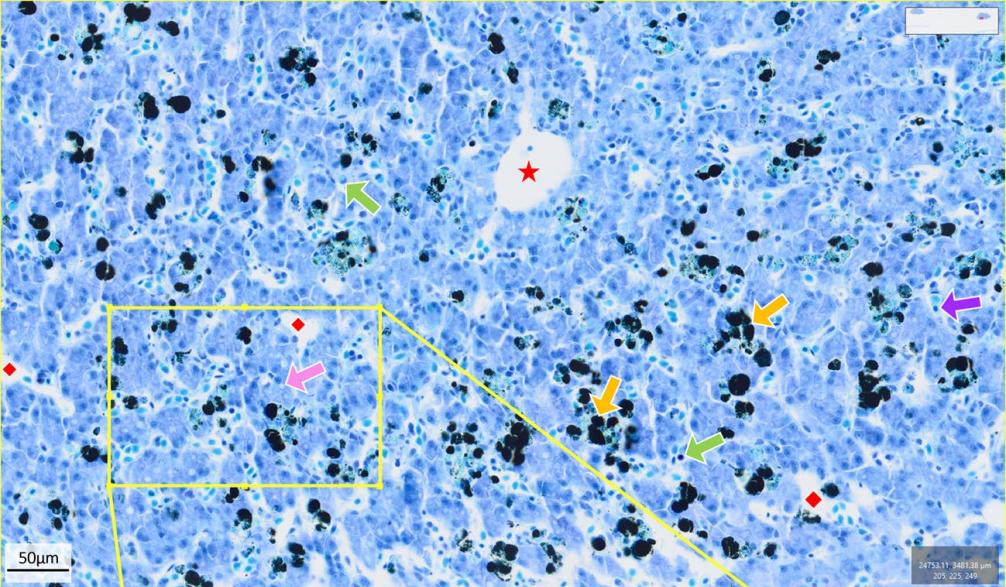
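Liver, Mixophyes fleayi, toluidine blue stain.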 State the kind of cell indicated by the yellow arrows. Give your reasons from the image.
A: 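The arrows point to clusters of black pigmented cells. Many such black clusters are scattered across the whole tissue. On this evidence: melanomacrophage assemblages.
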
